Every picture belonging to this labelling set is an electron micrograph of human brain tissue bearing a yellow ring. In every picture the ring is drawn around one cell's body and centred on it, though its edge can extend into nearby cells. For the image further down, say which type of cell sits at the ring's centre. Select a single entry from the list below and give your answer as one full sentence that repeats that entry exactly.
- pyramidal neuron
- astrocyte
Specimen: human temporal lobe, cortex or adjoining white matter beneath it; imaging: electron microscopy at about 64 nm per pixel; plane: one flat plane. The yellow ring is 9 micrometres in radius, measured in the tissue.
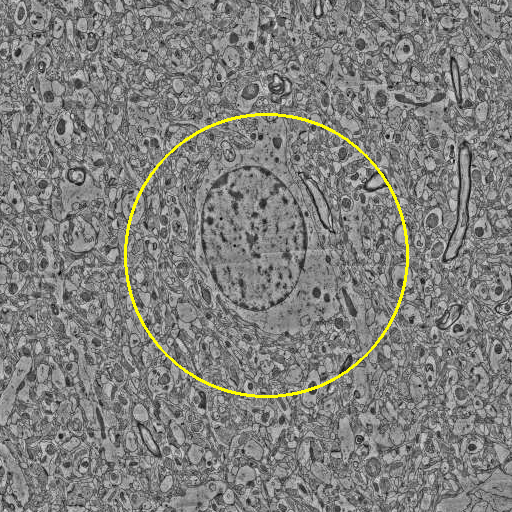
In the picture, an astrocyte is the cell at the centre of the yellow ring.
